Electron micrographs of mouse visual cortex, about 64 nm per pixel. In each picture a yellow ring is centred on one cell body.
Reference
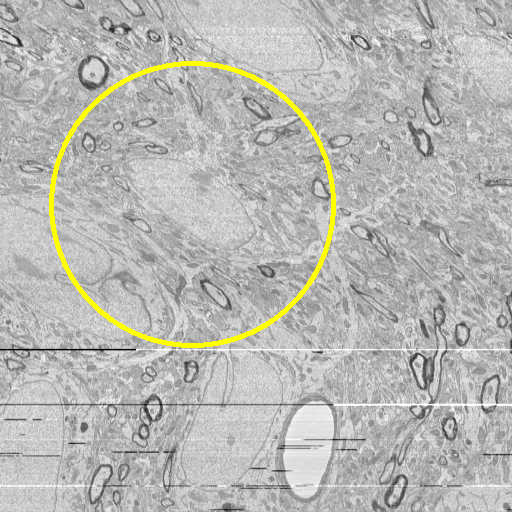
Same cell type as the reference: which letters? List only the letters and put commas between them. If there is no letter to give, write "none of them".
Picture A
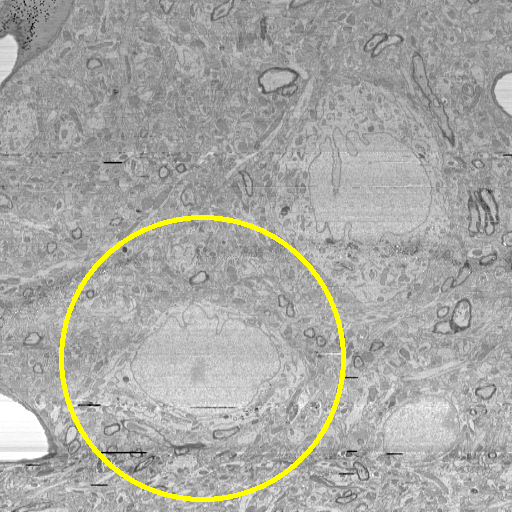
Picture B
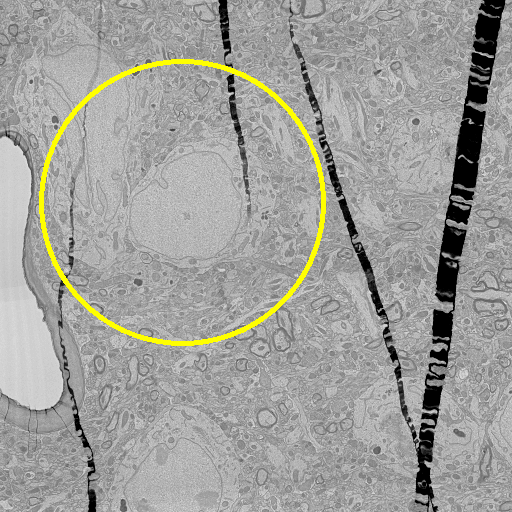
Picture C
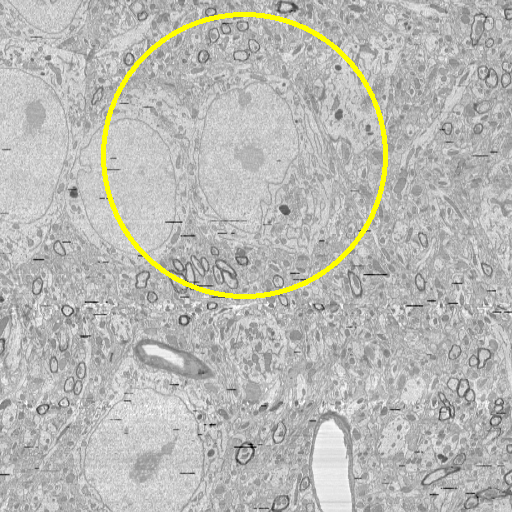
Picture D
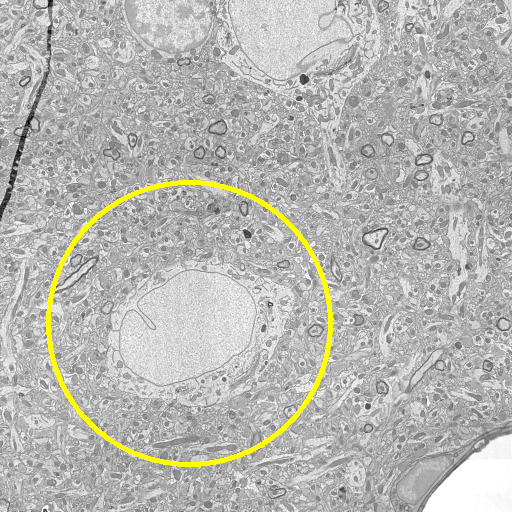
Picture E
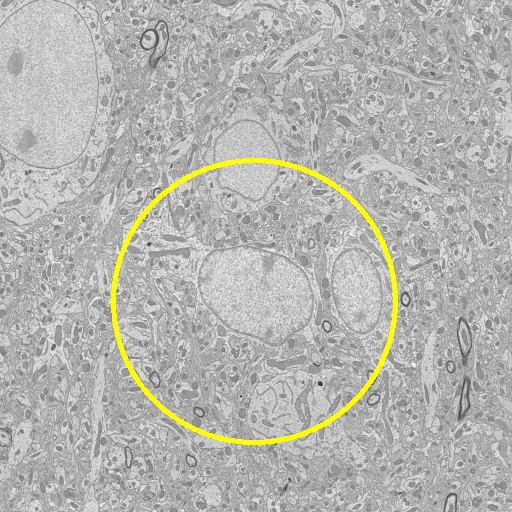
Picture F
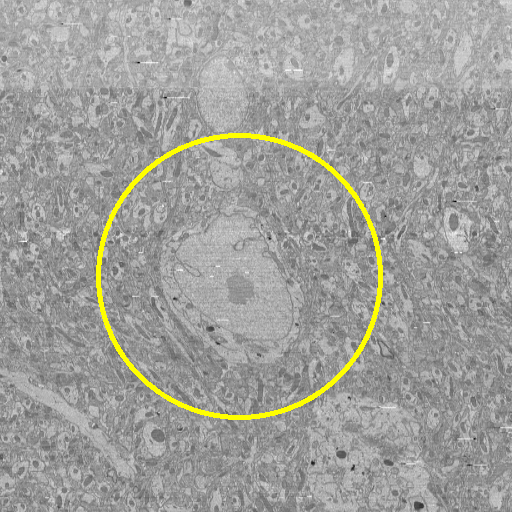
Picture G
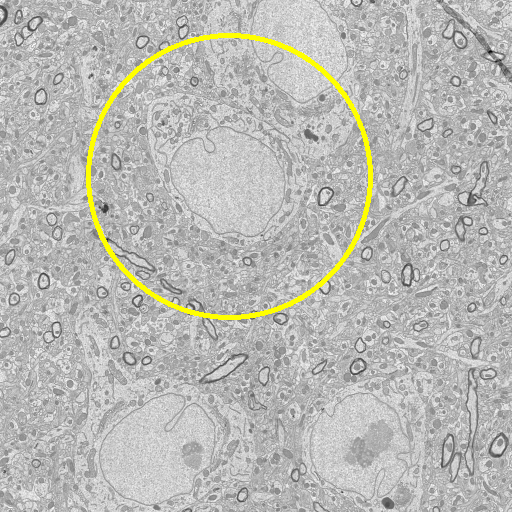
E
